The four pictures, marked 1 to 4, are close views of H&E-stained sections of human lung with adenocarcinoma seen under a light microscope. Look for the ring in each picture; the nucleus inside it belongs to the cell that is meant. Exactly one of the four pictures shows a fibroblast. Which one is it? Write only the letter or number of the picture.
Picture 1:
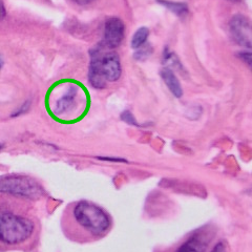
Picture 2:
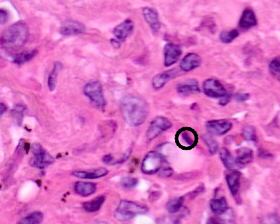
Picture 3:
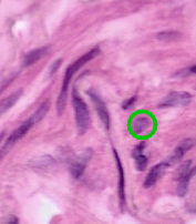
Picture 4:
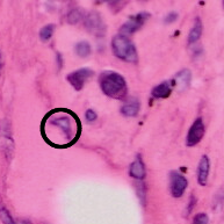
1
